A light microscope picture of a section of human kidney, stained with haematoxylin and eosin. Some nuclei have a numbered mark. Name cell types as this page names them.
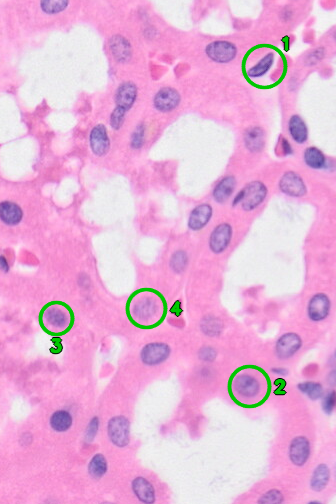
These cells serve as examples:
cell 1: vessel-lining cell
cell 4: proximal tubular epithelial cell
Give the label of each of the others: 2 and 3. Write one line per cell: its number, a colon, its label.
2: proximal tubular epithelial cell
3: proximal tubular epithelial cell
